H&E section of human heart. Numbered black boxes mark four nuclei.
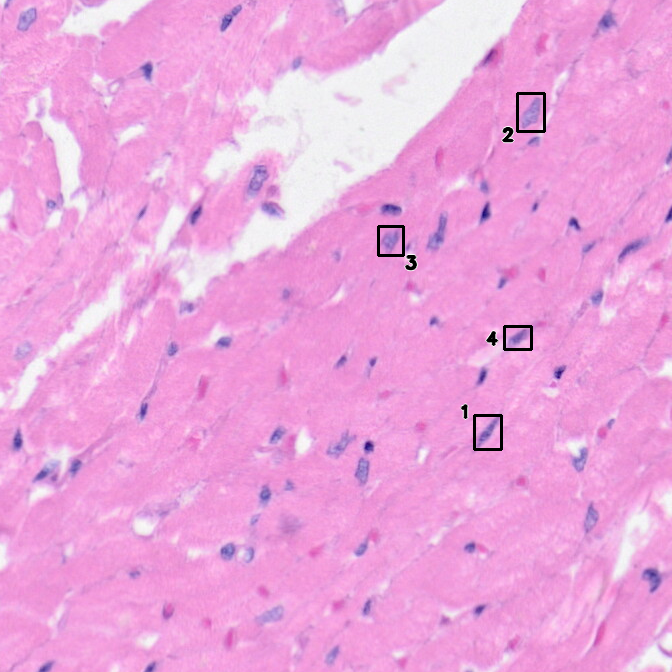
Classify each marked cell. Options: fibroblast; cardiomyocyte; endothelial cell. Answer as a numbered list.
1. fibroblast
2. cardiomyocyte
3. cardiomyocyte
4. fibroblast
